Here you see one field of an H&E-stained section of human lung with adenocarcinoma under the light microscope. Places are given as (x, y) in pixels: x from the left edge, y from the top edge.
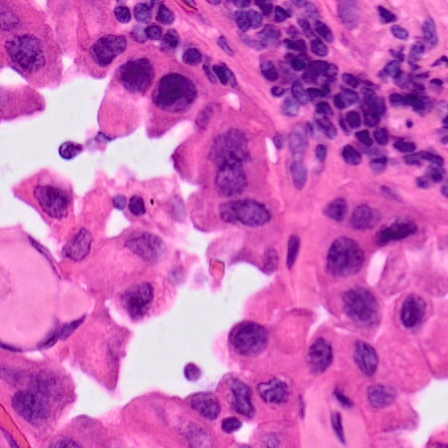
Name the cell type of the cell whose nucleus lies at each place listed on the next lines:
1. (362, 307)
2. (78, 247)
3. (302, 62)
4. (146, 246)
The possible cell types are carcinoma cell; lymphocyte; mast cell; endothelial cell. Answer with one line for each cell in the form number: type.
1: carcinoma cell
2: carcinoma cell
3: lymphocyte
4: carcinoma cell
